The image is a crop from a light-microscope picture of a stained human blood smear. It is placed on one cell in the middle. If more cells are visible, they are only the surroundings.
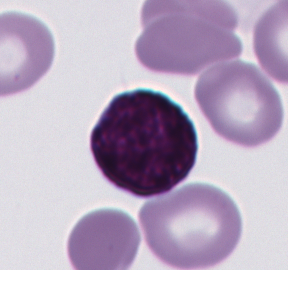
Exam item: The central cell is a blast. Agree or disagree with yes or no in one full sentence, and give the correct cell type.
Yes, the cell here in the middle is a blast.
